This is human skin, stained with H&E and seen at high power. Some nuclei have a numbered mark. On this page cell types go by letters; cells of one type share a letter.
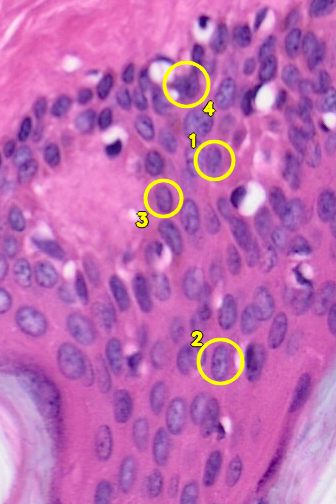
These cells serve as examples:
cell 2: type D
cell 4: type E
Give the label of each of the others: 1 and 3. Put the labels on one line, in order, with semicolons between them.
type E; type E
